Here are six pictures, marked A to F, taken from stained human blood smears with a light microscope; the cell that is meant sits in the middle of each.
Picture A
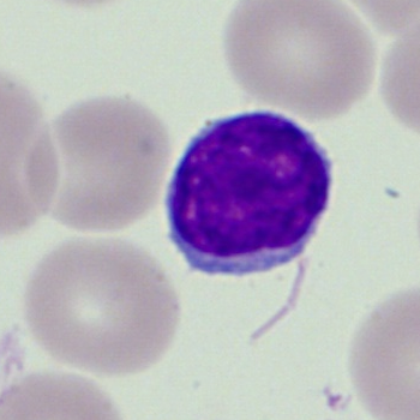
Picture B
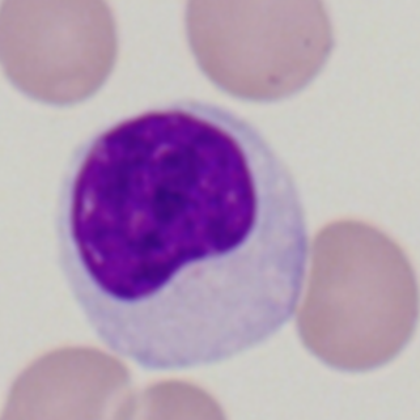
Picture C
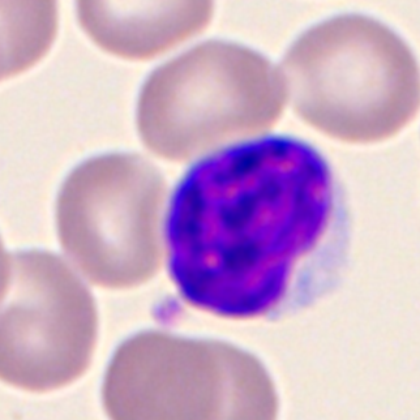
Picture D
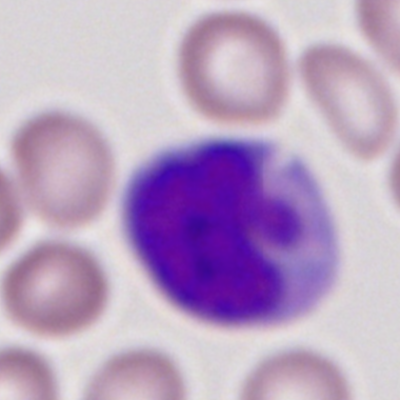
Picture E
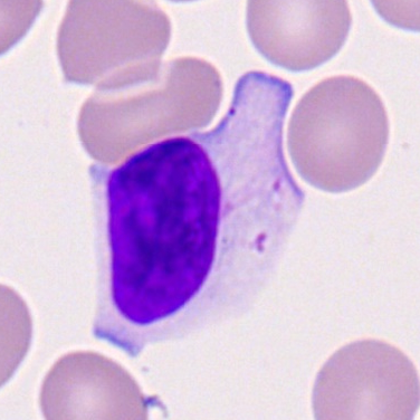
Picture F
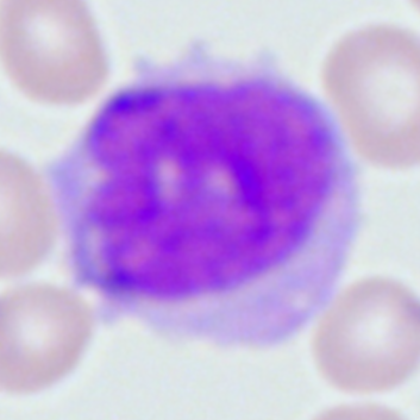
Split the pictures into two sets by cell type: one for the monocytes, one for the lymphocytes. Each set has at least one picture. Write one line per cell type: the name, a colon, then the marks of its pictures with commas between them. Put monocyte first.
monocyte: D, F
lymphocyte: A, B, C, E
